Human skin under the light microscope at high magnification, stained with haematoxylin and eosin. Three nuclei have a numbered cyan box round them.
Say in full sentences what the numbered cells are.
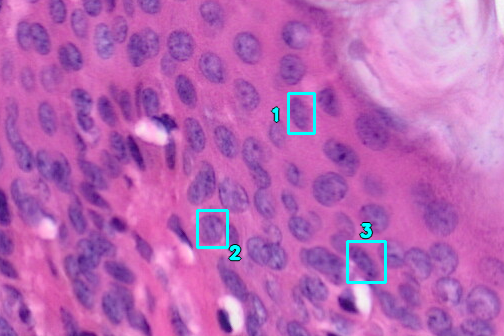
Cell 1 is a suprabasal keratinocyte, cell 2 is a basal keratinocyte and cell 3 is a basal keratinocyte.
